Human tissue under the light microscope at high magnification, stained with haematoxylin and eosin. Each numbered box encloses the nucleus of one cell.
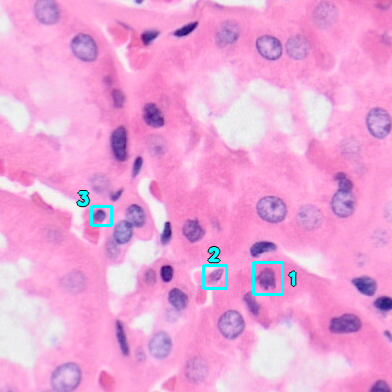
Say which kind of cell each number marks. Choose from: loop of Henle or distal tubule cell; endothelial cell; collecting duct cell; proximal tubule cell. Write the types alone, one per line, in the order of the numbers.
proximal tubule cell
endothelial cell
endothelial cell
